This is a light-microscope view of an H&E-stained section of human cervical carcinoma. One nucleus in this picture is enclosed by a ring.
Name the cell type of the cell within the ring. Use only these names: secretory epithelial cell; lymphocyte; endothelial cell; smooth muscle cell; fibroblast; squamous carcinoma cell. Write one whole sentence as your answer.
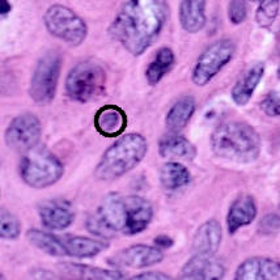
In short, the cell within the ring on this section is a squamous carcinoma cell.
